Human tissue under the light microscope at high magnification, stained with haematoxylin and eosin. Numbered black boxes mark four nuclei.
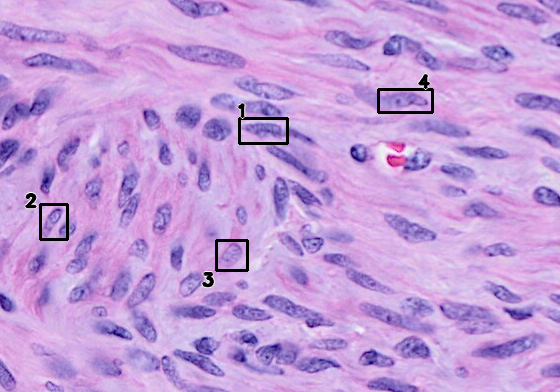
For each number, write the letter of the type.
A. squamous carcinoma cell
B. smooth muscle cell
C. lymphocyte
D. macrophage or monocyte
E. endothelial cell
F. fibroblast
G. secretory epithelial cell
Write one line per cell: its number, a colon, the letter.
1: F
2: B
3: B
4: B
